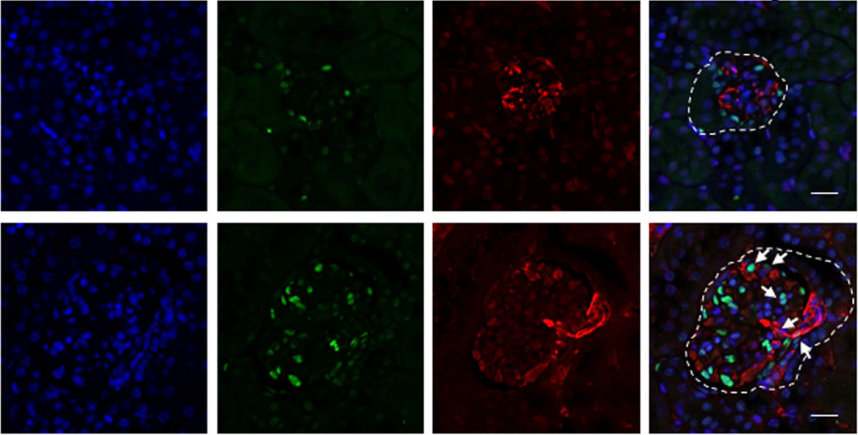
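These are sections of kidney cortex, each centred on a glomerulus, a rounded tuft of tightly packed cells that stands out from the surrounding tubules. Blue nuclei fill the whole field. In the tubules around the tuft they lie in rings around the tubule cross-sections, while inside the tuft they are crowded together. Red staining outlines a network of cells within the tuft. Green nuclei are scattered mainly inside the tuft, and some cells show red and green together. In the lower row the tuft is larger, the red network is more extensive, and the green nuclei are more numerous than in the upper row.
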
